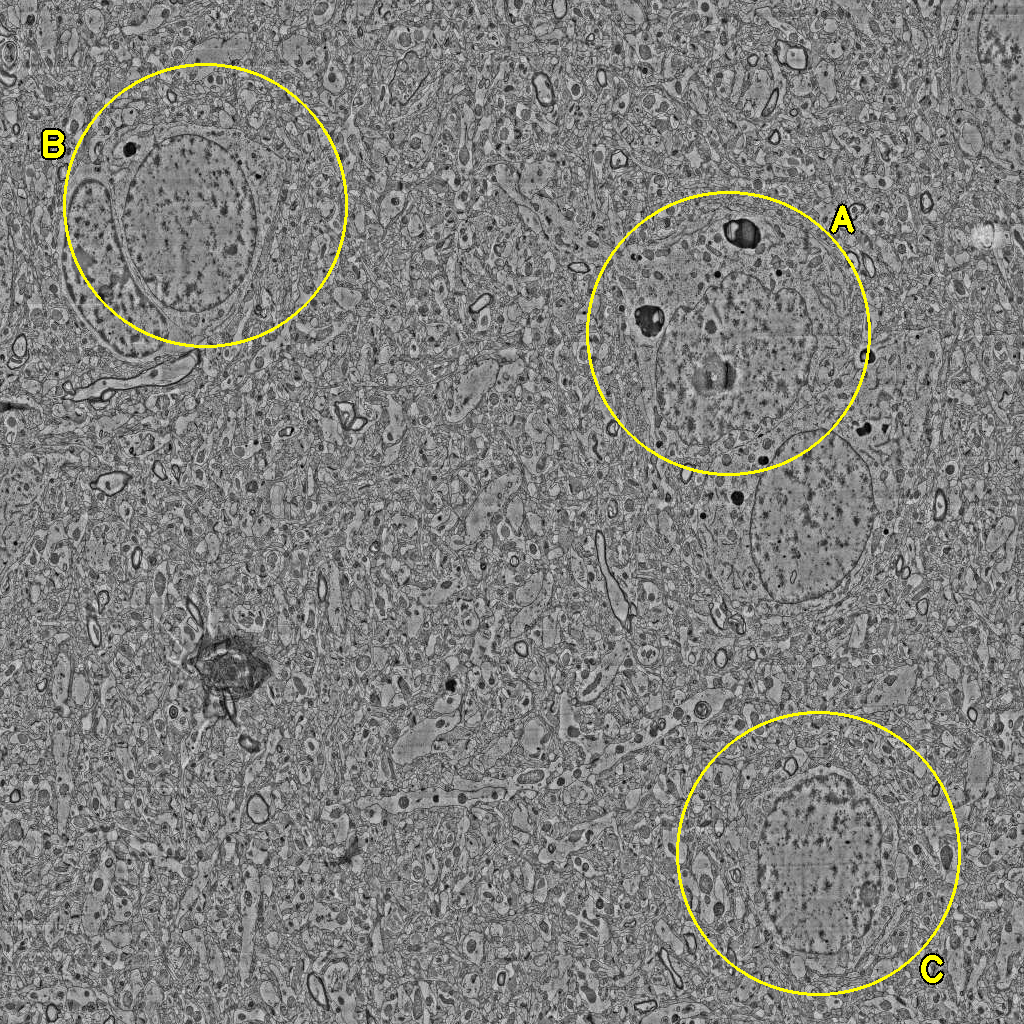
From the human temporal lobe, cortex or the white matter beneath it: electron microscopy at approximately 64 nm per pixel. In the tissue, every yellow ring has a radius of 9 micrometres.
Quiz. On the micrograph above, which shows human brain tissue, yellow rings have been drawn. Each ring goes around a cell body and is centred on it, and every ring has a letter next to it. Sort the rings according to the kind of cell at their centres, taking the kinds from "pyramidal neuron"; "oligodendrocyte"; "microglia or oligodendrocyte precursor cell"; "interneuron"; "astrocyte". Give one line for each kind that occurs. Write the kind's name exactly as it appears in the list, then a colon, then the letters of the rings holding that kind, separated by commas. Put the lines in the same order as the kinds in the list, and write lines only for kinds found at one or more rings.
pyramidal neuron: B
interneuron: A, C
